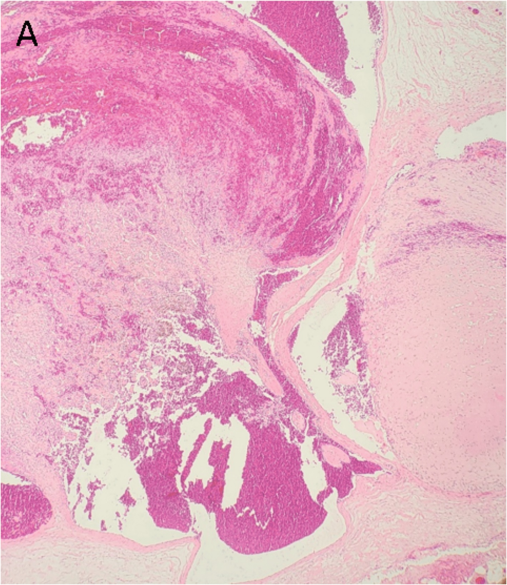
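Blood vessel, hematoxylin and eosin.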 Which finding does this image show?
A: Thrombus formation.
